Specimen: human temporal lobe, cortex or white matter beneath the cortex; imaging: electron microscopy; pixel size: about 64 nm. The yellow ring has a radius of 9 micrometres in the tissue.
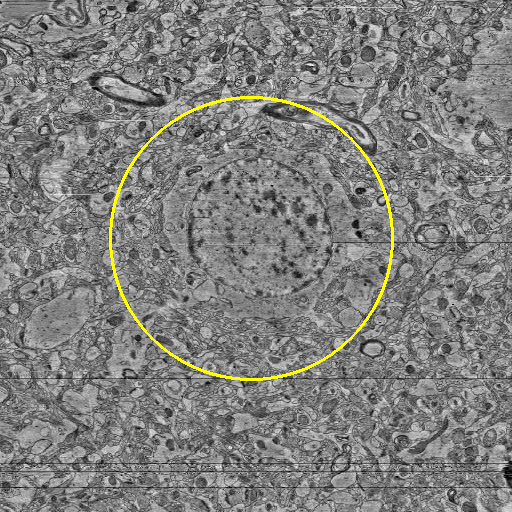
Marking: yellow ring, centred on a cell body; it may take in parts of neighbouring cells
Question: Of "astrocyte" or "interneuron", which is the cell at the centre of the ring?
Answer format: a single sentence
The ring surrounds the body of an astrocyte.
